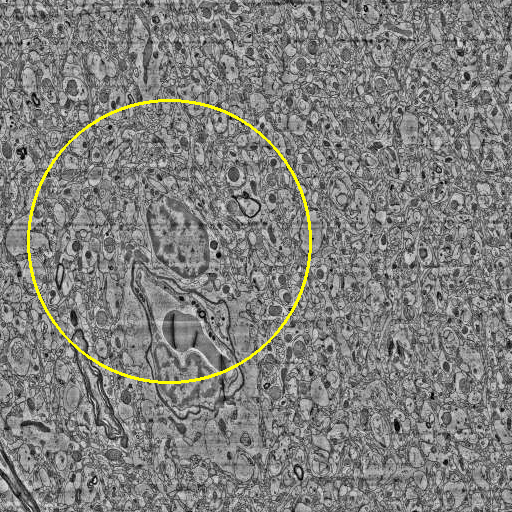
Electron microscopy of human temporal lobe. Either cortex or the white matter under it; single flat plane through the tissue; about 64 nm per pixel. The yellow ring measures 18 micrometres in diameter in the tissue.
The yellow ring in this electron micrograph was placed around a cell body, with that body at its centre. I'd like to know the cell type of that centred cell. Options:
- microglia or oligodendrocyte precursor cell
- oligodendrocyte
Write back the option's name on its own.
microglia or oligodendrocyte precursor cell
